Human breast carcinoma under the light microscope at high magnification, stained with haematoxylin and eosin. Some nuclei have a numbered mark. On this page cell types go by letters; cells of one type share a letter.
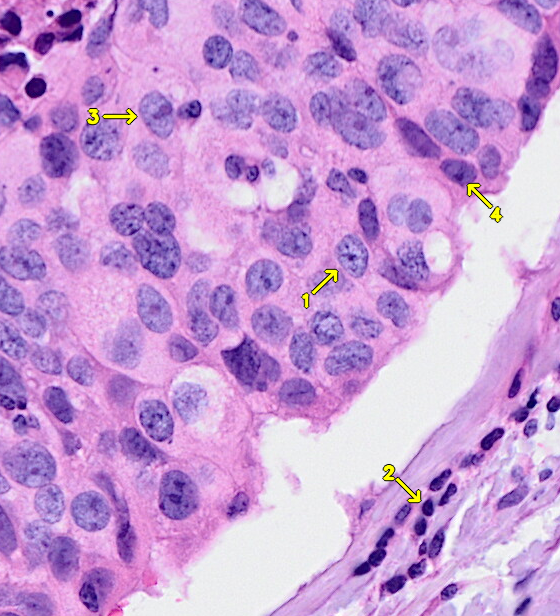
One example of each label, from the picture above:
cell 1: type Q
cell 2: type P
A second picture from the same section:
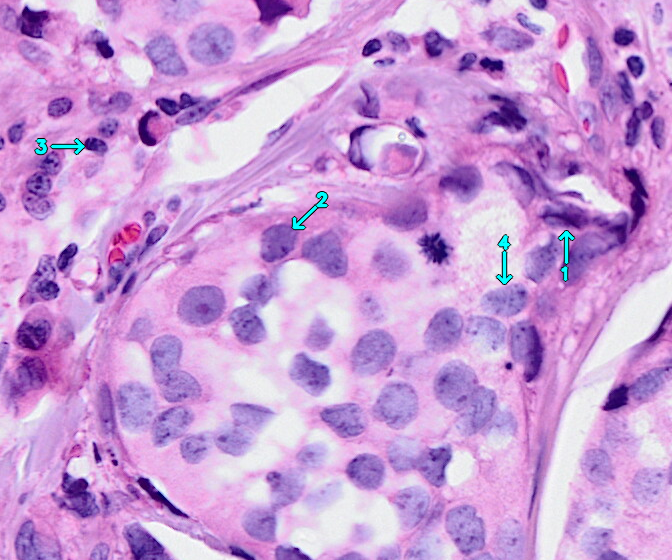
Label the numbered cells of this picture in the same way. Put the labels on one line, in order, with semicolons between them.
type Q; type Q; type P; type Q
